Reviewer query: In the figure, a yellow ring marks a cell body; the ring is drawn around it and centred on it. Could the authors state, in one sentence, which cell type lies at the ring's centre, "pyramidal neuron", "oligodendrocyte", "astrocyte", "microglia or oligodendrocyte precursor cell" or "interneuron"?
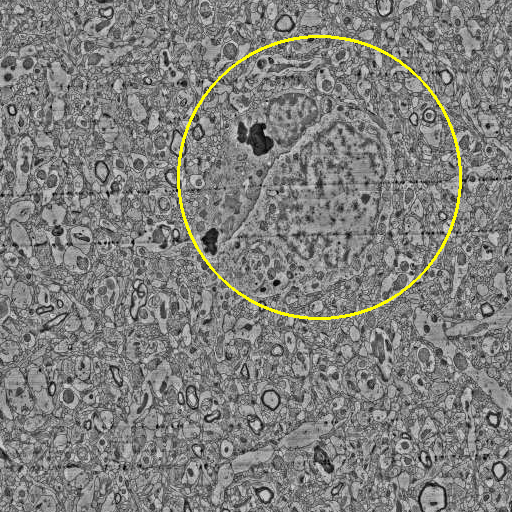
The ring is centred on an interneuron.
